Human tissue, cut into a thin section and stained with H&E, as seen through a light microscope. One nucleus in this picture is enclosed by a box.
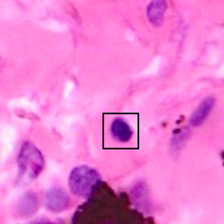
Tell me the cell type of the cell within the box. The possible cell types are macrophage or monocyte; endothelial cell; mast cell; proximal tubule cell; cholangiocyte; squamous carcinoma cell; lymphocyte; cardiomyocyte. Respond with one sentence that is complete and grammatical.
The category to which the cell within the box belongs is that of a lymphocyte.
